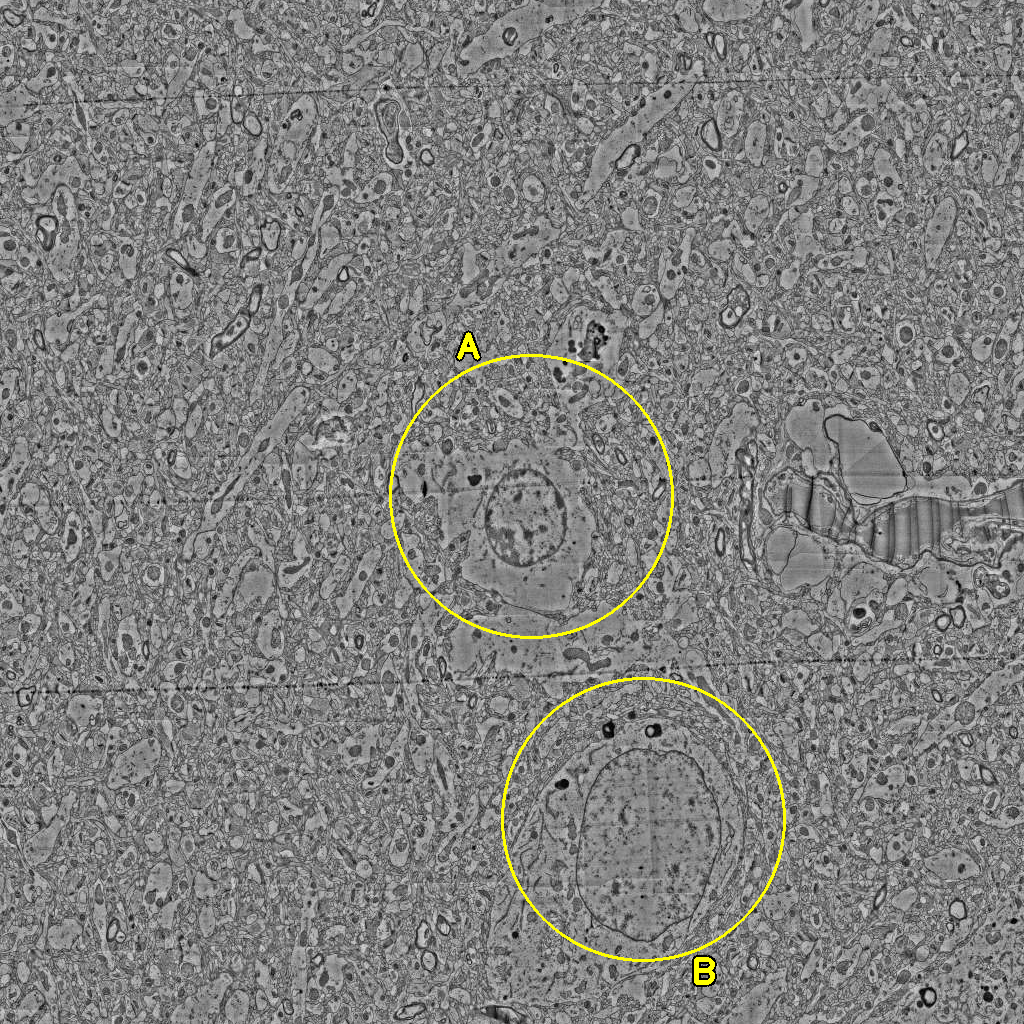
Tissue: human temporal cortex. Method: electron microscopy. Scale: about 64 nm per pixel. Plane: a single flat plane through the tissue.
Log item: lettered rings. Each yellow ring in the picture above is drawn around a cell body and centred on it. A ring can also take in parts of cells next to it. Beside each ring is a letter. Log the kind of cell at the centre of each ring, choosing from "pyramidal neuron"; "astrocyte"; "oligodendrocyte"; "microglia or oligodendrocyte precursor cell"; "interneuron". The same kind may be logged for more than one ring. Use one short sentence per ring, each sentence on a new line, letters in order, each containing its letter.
Within ring A, the centre is taken by an astrocyte.
Within ring B, the centre is taken by a pyramidal neuron.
